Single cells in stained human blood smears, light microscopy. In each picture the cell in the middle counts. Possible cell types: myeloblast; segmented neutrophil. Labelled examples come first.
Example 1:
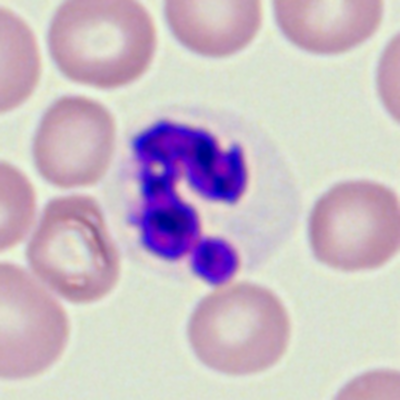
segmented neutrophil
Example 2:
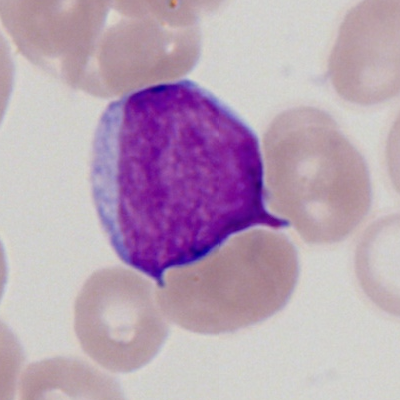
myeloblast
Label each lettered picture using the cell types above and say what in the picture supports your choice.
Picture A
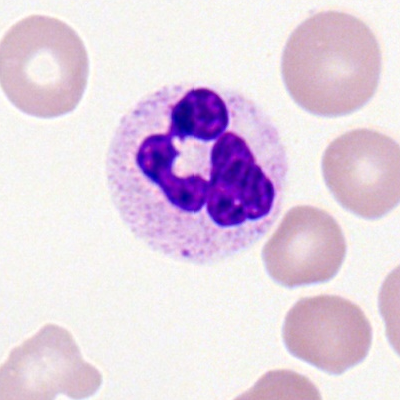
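segmented neutrophil. Reason: The cytoplasm is plentiful and pale pink.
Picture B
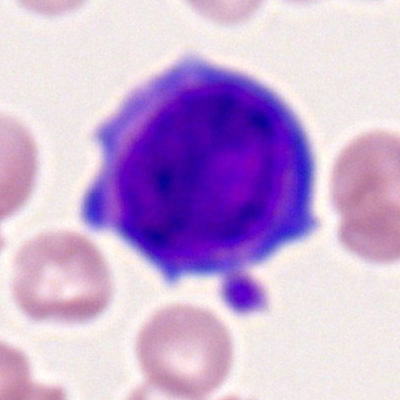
myeloblast. Reason: The cytoplasm is deep blue.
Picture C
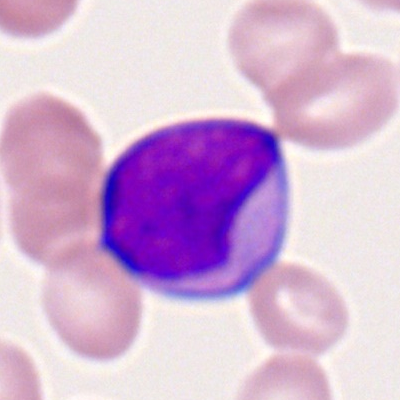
myeloblast. Reason: The nucleus fills most of the cell.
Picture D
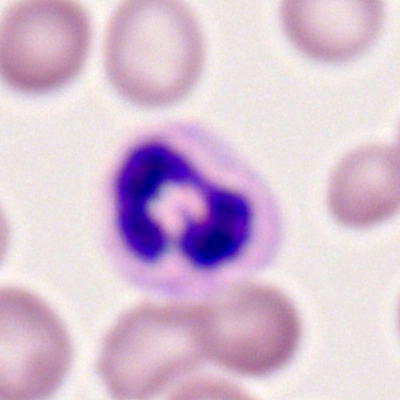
segmented neutrophil. Reason: The cytoplasm is pale pink.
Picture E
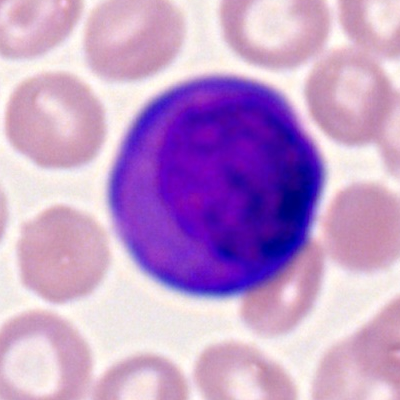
myeloblast. Reason: The cytoplasm is stained blue.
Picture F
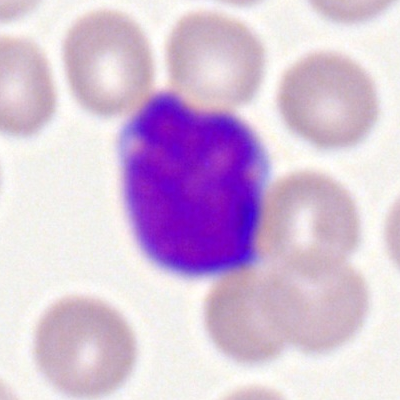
myeloblast. Reason: The nucleus fills almost the whole cell, leaving only a very thin rim of cytoplasm.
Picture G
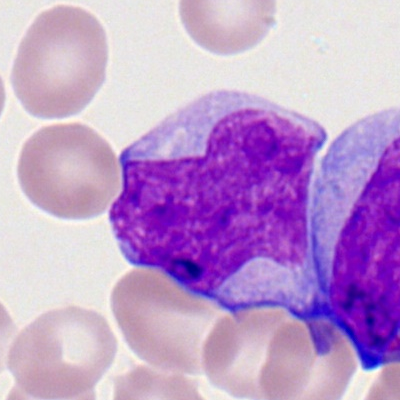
myeloblast. Reason: The nucleus fills most of the cell.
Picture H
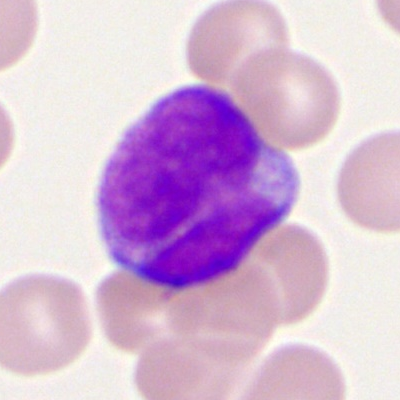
myeloblast. Reason: The cytoplasm is scant, with the nucleus filling most of the cell.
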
